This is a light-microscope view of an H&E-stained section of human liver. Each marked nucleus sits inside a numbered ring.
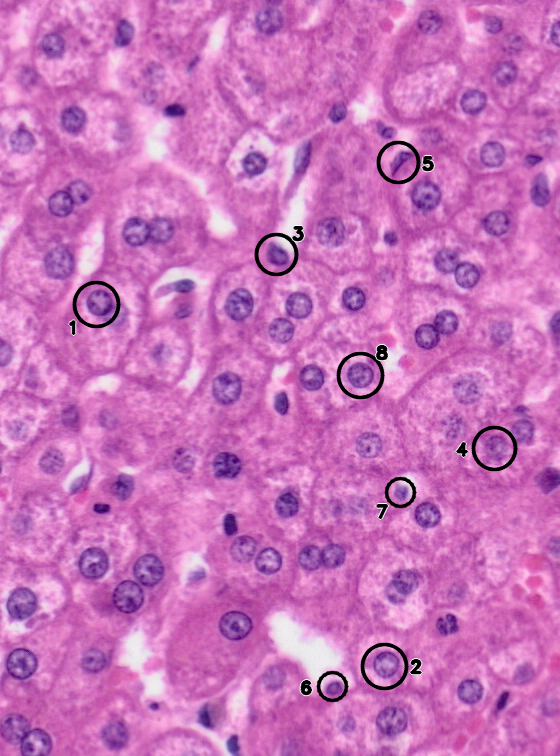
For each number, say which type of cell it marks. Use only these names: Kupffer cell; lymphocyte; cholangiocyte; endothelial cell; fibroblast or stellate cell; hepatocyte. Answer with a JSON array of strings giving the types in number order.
["hepatocyte", "hepatocyte", "endothelial cell", "hepatocyte", "endothelial cell", "Kupffer cell", "lymphocyte", "hepatocyte"]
